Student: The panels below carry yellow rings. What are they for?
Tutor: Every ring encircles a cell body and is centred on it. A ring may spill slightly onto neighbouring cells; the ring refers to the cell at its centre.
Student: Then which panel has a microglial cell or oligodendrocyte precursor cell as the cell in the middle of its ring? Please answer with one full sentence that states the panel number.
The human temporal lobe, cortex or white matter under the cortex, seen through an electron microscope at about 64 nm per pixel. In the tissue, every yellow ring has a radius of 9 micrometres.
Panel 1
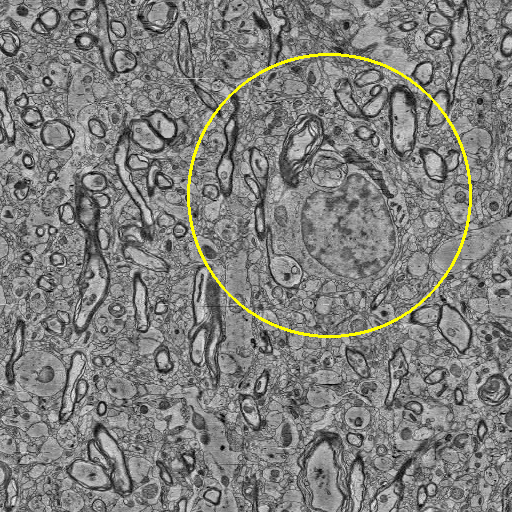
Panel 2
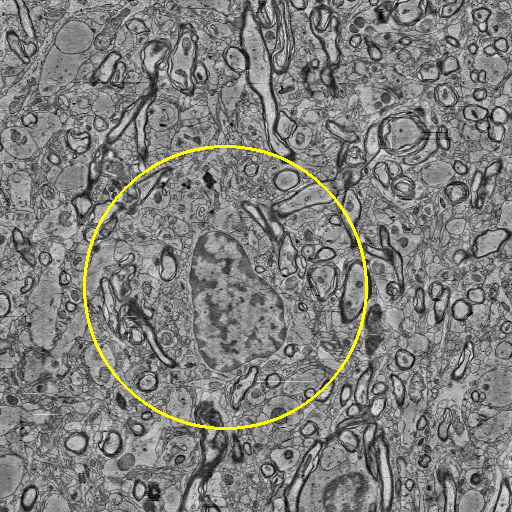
In Panel 2, the cell centred in the ring is the one sought.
